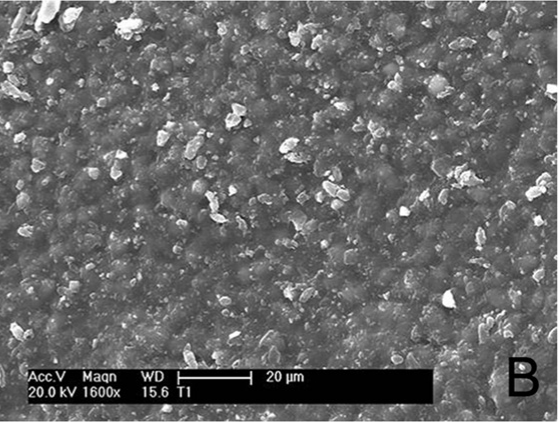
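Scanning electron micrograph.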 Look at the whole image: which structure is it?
Smear layer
